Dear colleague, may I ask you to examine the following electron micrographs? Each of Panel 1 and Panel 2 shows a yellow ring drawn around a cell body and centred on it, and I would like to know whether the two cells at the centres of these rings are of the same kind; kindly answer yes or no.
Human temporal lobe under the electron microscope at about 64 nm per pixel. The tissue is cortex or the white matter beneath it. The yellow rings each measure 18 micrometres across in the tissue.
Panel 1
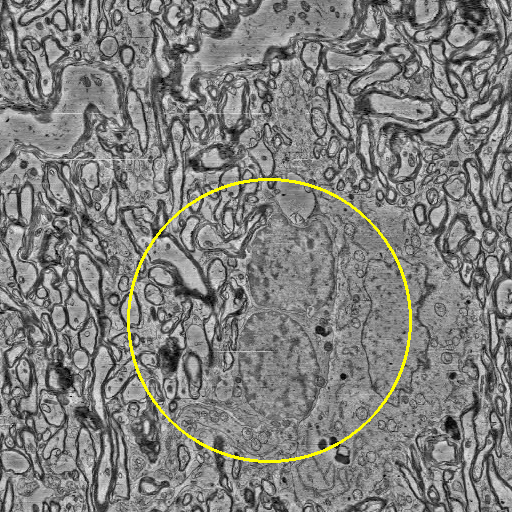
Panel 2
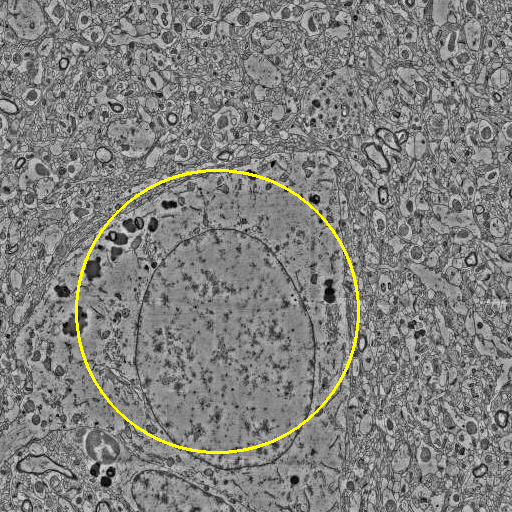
no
